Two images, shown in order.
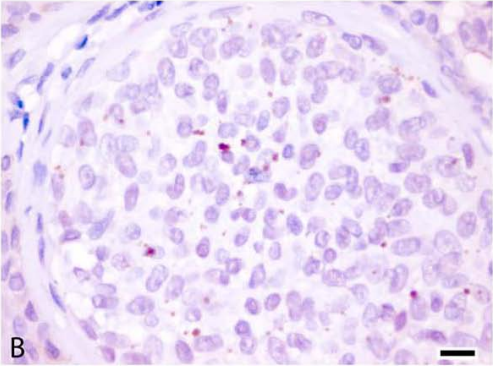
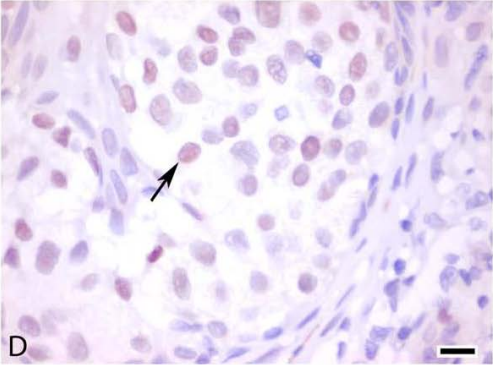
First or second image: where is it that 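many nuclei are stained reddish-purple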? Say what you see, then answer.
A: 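Second image: many tumour nuclei are reddish-purple to brown among blue ones. First image: the nuclei are blue, with only scattered small red dots.
The second image.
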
